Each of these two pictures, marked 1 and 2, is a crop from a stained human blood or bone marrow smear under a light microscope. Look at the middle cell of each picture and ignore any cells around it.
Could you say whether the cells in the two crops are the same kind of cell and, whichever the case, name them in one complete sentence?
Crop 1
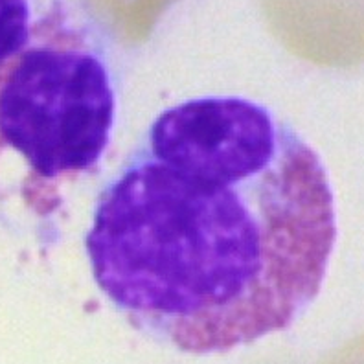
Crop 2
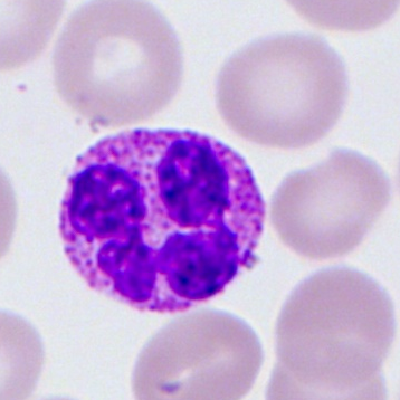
Yes, what both crops show at their centres are eosinophils.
